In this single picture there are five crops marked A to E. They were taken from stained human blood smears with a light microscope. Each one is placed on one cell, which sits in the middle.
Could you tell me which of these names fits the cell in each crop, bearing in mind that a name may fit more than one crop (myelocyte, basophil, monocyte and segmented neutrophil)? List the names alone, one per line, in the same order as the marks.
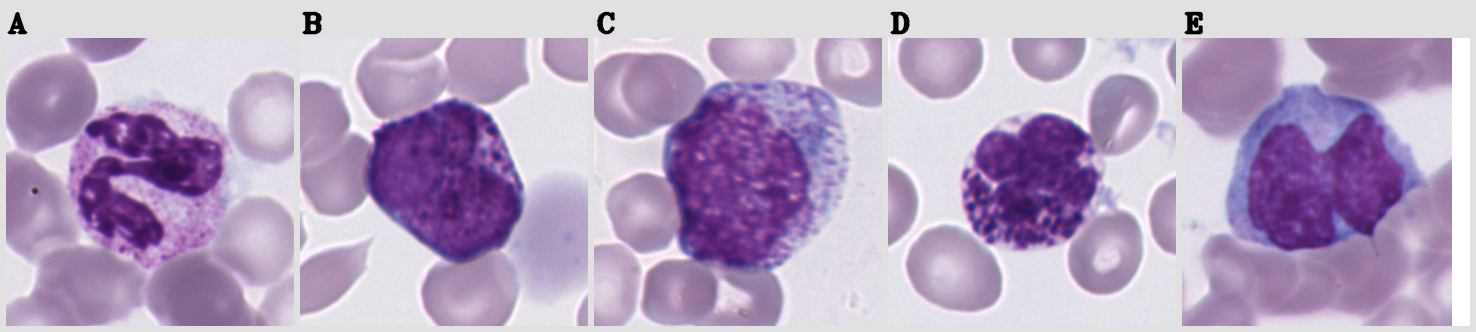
segmented neutrophil
basophil
myelocyte
basophil
monocyte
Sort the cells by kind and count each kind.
basophil: 2
segmented neutrophil: 1
myelocyte: 1
monocyte: 1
